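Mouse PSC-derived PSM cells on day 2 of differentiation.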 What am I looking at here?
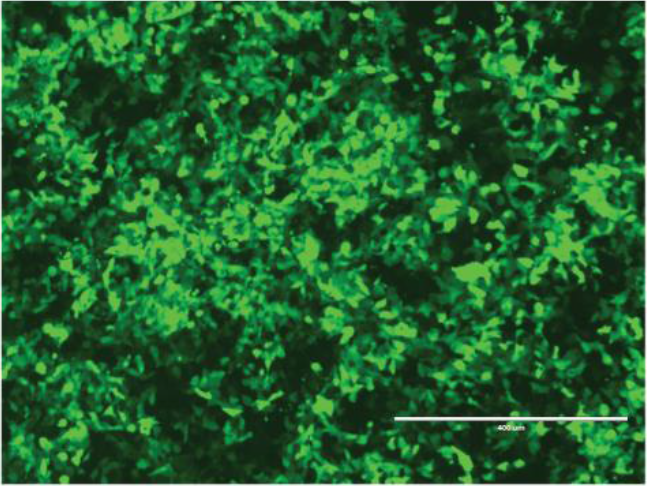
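This is a dense culture of cells seen in green fluorescence at low magnification. The green fills irregular, flattened cell shapes of varying brightness, so each cell shows as a bright patch rather than a small dot. The cells crowd together into bright clusters, with darker patches between them where signal is weak or absent.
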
